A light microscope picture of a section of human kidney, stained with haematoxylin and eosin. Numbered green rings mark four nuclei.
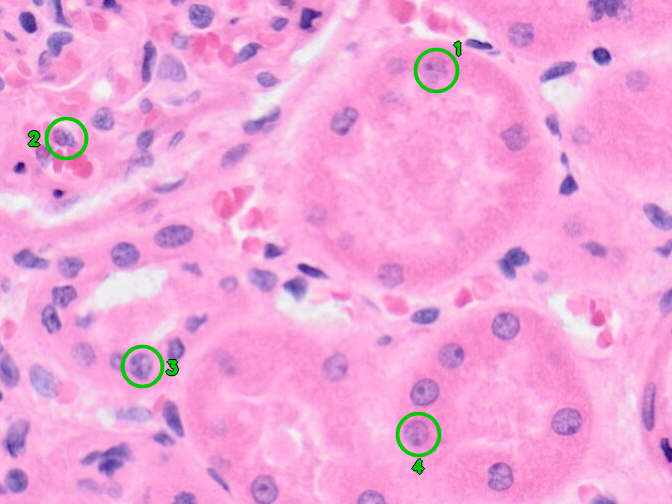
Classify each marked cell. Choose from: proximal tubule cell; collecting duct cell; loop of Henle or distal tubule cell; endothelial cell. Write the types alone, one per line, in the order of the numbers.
proximal tubule cell
endothelial cell
collecting duct cell
proximal tubule cell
